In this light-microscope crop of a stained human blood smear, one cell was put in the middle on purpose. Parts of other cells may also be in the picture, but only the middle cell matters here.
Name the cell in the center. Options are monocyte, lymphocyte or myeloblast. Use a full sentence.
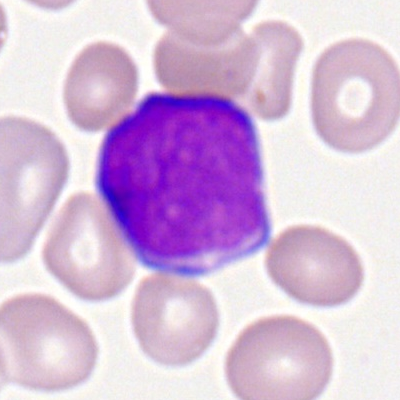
The cell that lies at the centre of the crop is a myeloblast.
